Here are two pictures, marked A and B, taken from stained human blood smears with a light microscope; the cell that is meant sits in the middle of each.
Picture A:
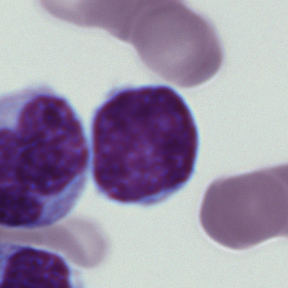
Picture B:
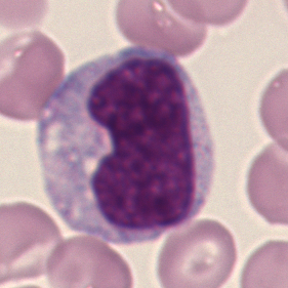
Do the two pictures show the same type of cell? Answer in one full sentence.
Yes; the cells in both pictures are monocytes.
